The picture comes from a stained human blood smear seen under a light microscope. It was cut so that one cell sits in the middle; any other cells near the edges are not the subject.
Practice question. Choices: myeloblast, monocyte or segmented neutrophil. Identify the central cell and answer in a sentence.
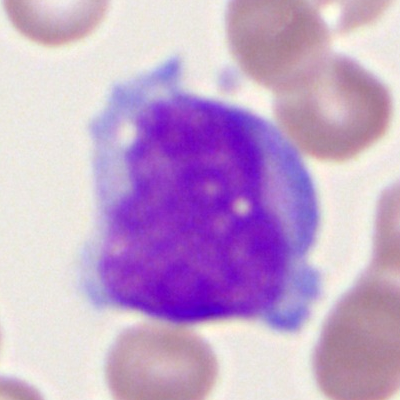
Looking at the middle of the crop, the cell there is a monocyte.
